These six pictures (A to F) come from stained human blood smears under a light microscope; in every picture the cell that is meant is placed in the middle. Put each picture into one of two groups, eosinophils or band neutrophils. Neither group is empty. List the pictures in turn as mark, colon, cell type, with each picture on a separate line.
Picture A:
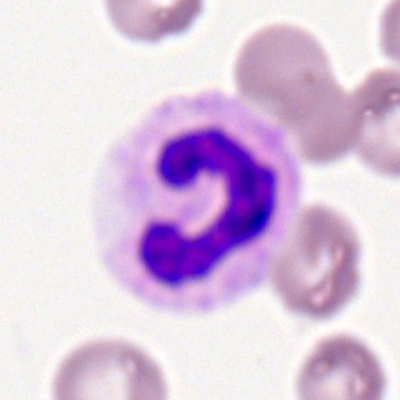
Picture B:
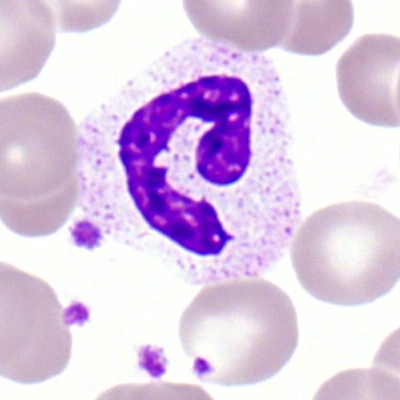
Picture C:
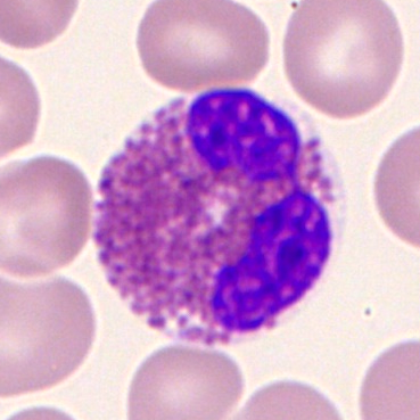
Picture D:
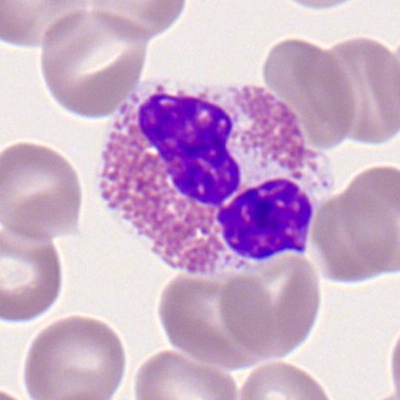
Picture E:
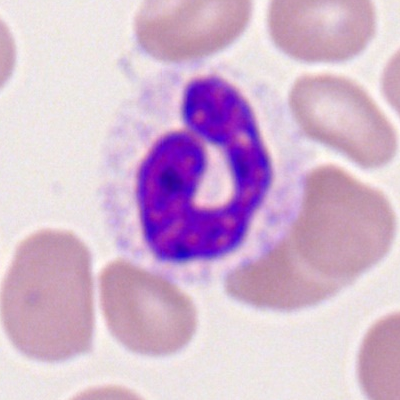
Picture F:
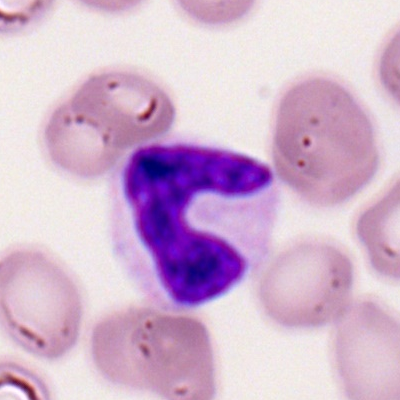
A: band neutrophil
B: band neutrophil
C: eosinophil
D: eosinophil
E: band neutrophil
F: band neutrophil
